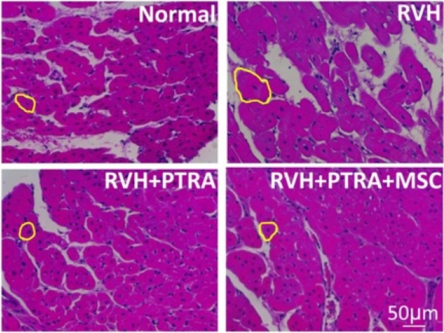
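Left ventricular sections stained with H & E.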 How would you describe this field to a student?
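These are four cross-sections of heart muscle in which the cardiac muscle cells are cut transversely and appear as pink, rounded-polygonal profiles. Small dark purple nuclei are scattered among the profiles. Pale clefts separate the cells into bundles. In each image one muscle cell is outlined in yellow, and the outlined cell in the upper right image is clearly larger than the outlined cells in the other three.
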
